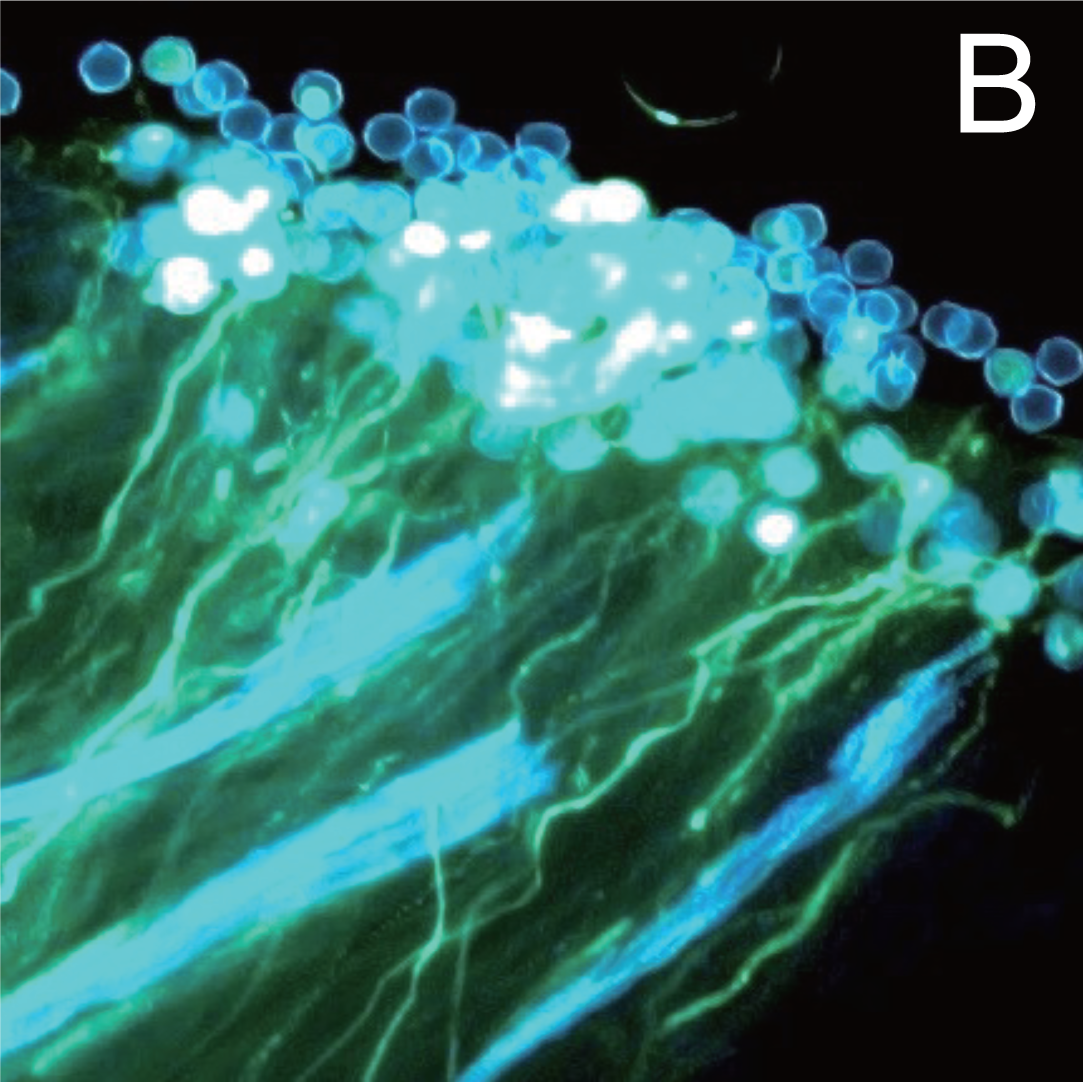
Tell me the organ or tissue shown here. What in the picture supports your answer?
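Stigmas. Round grains sit on the surface of a plant tissue with a rounded edge. Thin threads grow from the surface grains into the underlying tissue.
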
